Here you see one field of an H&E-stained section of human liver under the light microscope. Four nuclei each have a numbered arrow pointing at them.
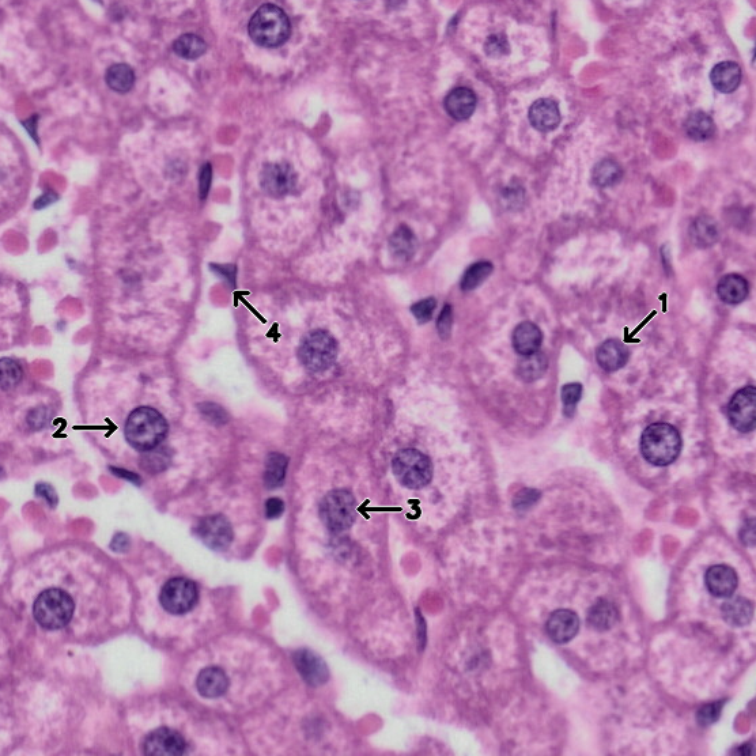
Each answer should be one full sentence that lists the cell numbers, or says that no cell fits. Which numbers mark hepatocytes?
Cells 1, 2 and 3 share one type; they are hepatocytes.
